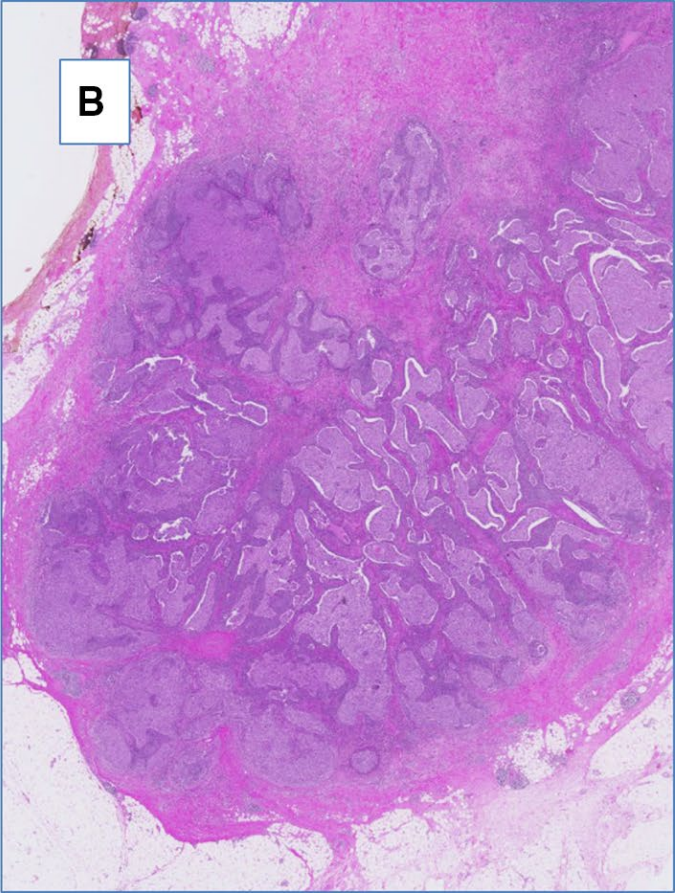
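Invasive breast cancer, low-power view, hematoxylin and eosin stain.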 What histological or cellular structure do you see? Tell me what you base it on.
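The tumor forms a rounded nodule with a smooth outer edge. A pink fibrous rim separates the nodule from the pale surrounding fat. The answer: sharp demarcation to tumor periphery.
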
